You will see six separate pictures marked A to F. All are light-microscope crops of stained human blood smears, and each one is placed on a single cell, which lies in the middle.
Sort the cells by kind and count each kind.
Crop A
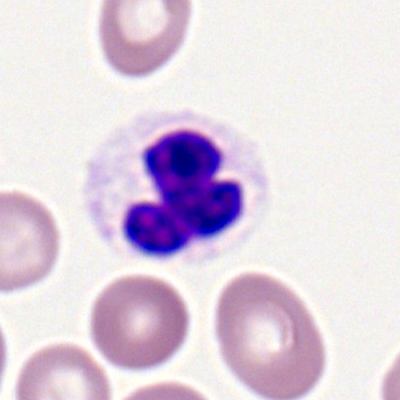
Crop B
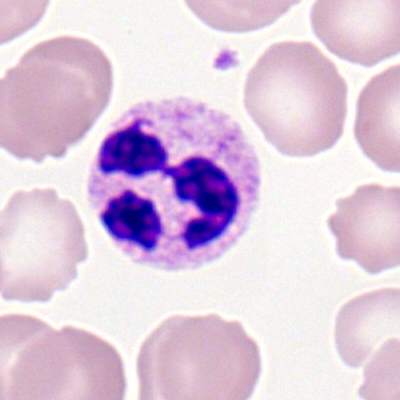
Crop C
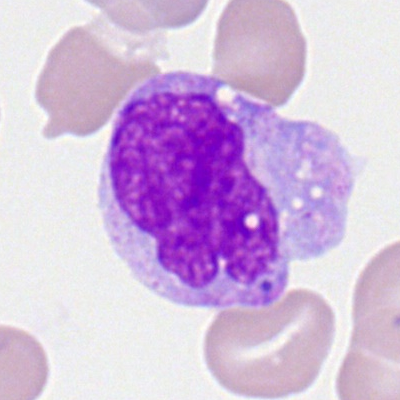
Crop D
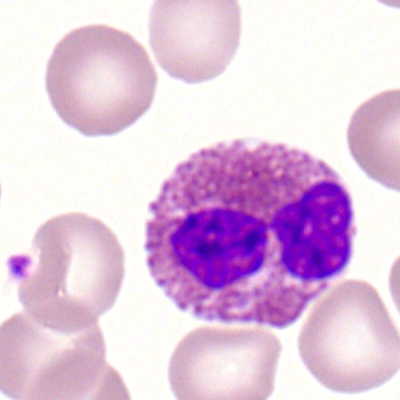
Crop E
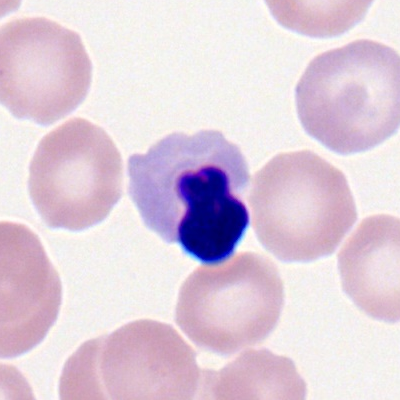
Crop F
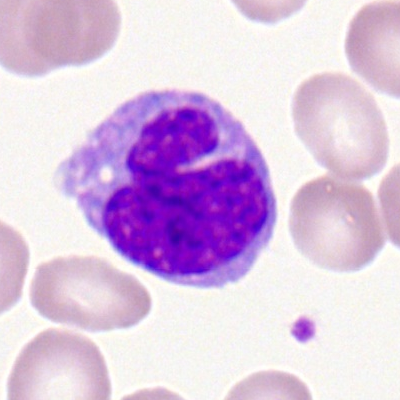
segmented neutrophil: 2
monocyte: 2
eosinophil: 1
erythroblast: 1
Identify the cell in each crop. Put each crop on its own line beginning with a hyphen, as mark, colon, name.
- A: segmented neutrophil
- B: segmented neutrophil
- C: monocyte
- D: eosinophil
- E: erythroblast
- F: monocyte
